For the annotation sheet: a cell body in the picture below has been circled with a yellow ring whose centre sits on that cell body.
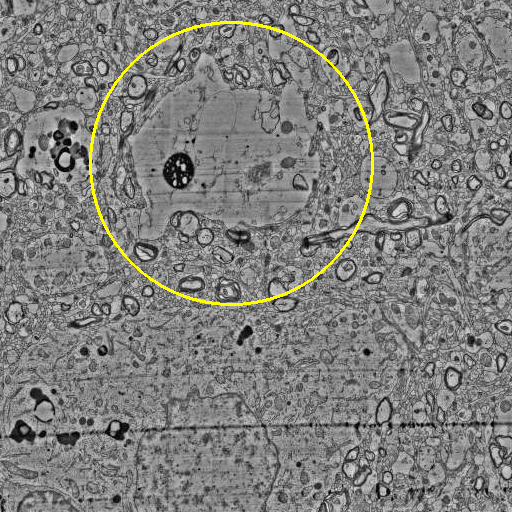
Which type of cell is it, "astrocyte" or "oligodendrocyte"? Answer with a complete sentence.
The circled cell is an astrocyte.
